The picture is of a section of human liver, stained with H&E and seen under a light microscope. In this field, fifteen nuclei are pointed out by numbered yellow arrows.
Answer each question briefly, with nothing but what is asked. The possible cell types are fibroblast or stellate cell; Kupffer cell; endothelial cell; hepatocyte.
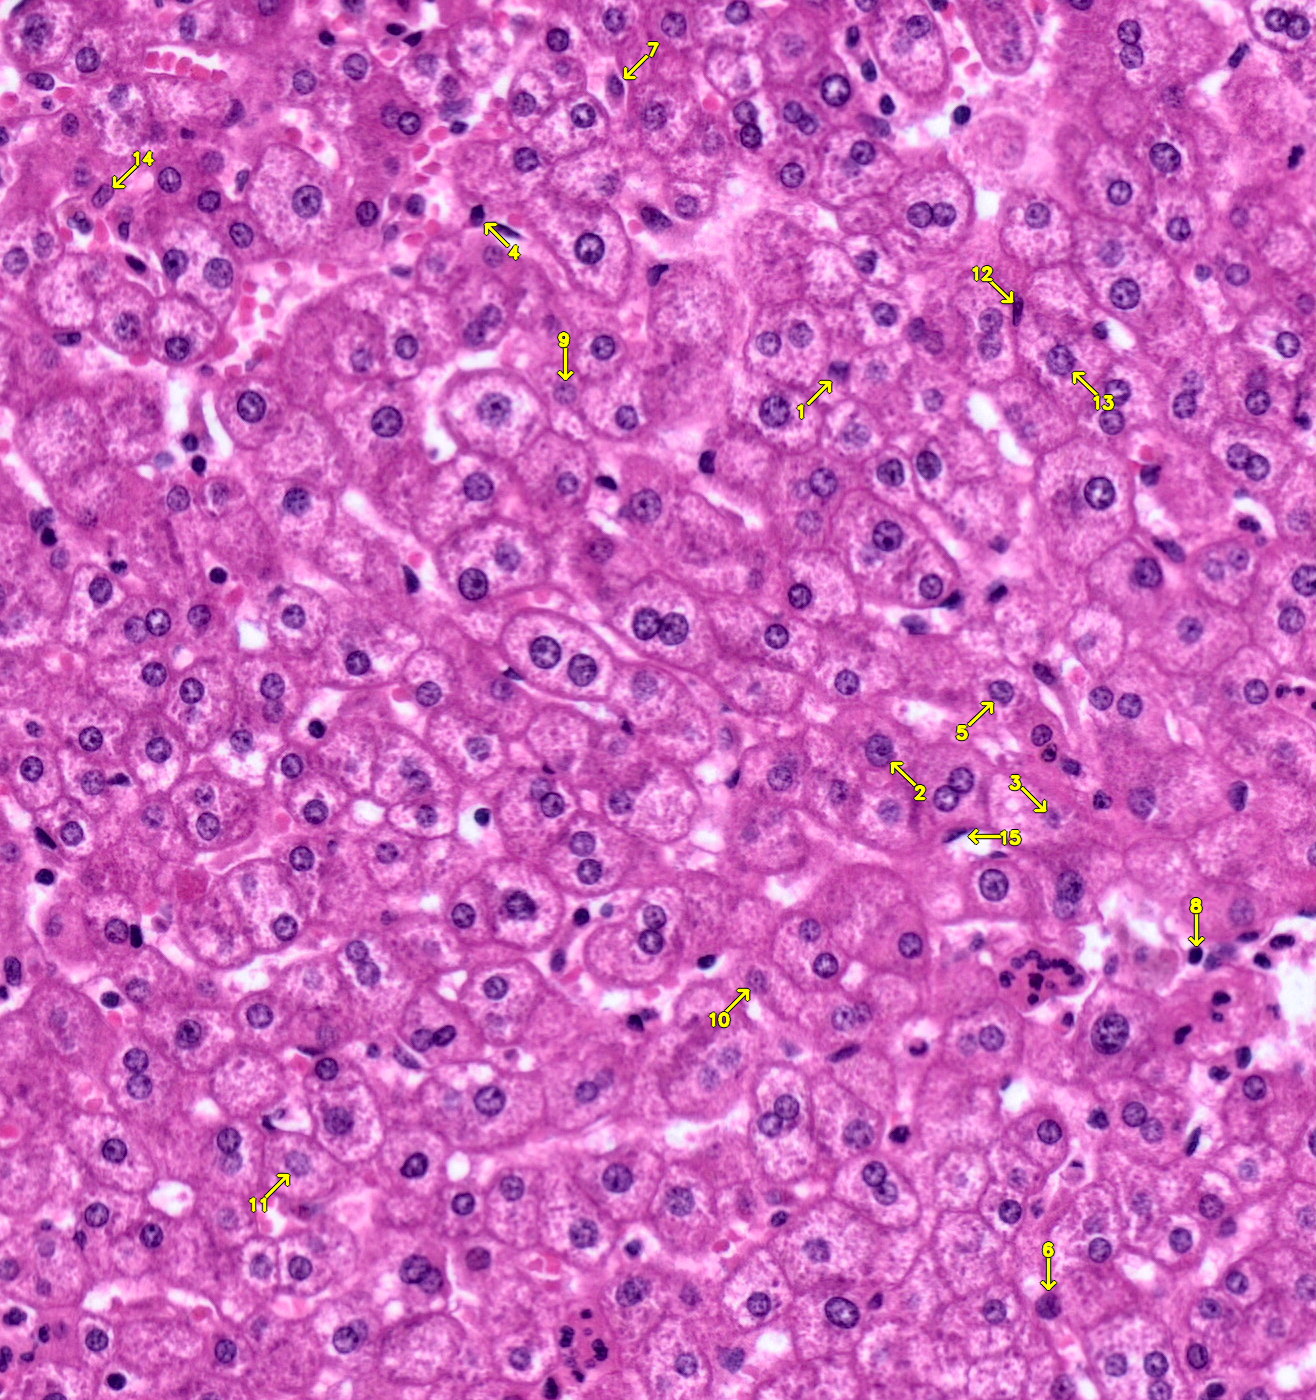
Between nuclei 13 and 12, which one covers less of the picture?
12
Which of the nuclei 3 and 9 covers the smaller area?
3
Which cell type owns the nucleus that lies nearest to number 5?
Kupffer cell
